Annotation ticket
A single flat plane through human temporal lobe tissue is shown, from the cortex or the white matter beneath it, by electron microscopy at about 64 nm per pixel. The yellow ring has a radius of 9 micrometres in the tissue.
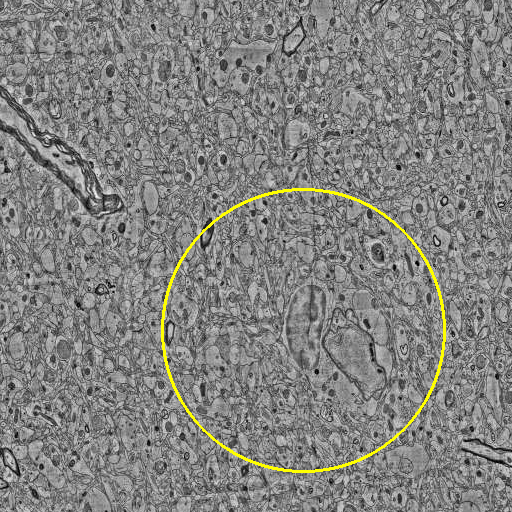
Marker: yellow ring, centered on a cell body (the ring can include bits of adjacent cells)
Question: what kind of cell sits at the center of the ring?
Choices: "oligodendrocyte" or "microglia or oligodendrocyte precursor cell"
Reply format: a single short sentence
The ring is centered on a microglial cell or oligodendrocyte precursor cell.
